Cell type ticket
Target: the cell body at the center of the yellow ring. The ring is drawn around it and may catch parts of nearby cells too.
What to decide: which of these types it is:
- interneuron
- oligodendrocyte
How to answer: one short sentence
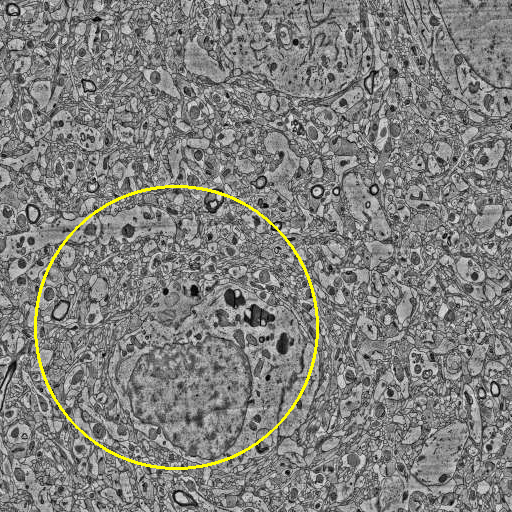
The cell at the center of the ring is an oligodendrocyte.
